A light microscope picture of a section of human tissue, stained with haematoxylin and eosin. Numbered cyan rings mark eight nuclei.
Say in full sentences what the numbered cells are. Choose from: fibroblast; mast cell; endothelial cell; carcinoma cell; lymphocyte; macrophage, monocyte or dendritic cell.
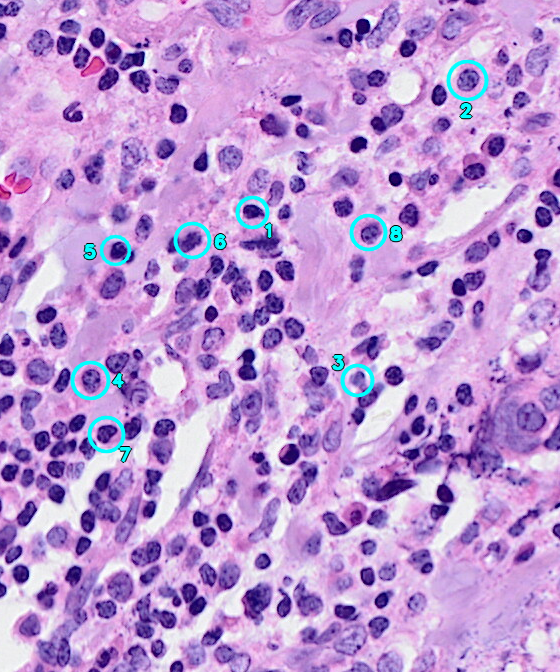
Cells 1, 3, 5, 6 and 7 are lymphocytes. Cells 2, 4 and 8 are mast cells.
